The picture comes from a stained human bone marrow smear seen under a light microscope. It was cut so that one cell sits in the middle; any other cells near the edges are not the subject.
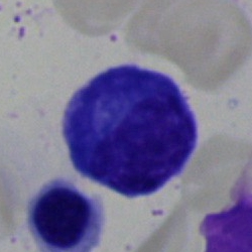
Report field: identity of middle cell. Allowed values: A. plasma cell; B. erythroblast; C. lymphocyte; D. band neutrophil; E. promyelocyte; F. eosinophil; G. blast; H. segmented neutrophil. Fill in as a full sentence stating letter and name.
For this crop, option A is right, the centered cell being a plasma cell.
